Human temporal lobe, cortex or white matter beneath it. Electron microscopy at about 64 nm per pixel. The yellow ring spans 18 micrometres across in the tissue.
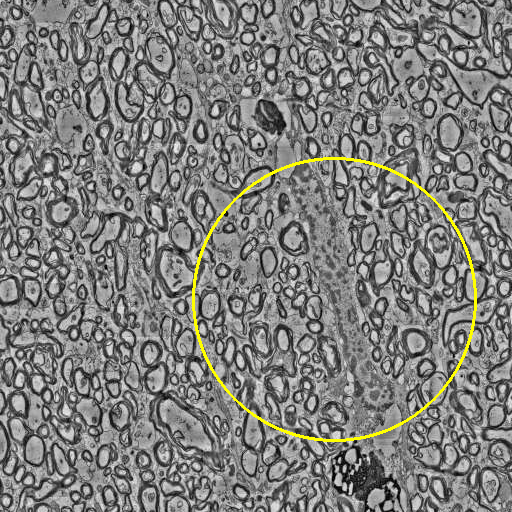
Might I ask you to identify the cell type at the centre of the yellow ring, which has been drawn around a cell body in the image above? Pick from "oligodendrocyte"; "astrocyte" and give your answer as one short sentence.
The centre of the ring falls on an astrocyte.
